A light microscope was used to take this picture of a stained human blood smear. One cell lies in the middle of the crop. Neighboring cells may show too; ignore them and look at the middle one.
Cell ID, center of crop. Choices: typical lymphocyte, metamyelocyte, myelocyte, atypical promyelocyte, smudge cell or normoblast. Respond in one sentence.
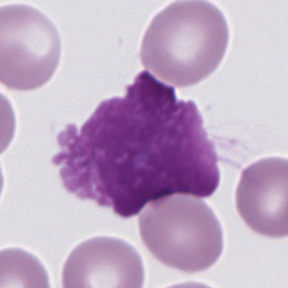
At the middle of the frame sits a smudge cell.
